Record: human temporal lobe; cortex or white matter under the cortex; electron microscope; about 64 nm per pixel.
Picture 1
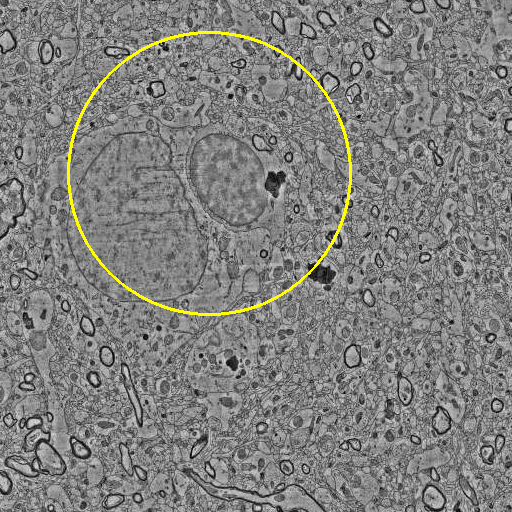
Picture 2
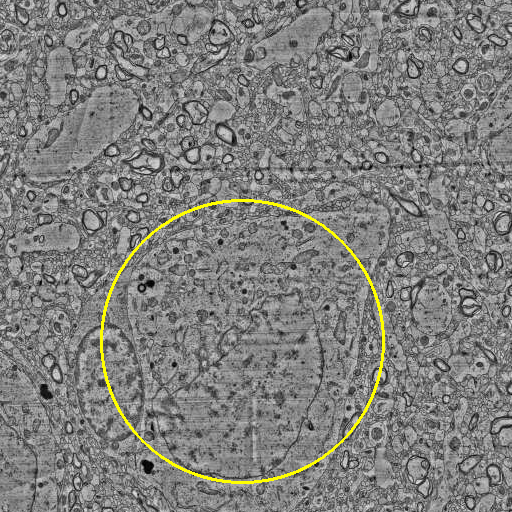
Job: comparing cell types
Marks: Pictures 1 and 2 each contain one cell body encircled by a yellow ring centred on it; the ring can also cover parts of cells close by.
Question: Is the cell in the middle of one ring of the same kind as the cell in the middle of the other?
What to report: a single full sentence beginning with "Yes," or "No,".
No, the cell at the ring centre in Picture 1 and its partner in Picture 2 are of two kinds.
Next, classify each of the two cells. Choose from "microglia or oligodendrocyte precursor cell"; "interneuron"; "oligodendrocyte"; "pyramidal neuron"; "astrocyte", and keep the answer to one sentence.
In the first picture it is an oligodendrocyte; in the second it is a pyramidal neuron.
